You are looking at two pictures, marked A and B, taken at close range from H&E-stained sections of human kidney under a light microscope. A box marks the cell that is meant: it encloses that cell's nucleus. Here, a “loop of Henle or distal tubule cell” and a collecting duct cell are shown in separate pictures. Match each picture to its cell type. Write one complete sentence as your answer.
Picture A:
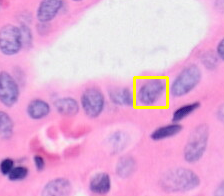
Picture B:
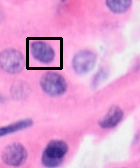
Picture A is of a collecting duct cell, and picture B is of a “loop of Henle or distal tubule cell”.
